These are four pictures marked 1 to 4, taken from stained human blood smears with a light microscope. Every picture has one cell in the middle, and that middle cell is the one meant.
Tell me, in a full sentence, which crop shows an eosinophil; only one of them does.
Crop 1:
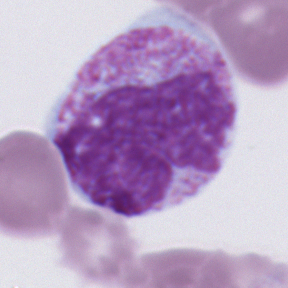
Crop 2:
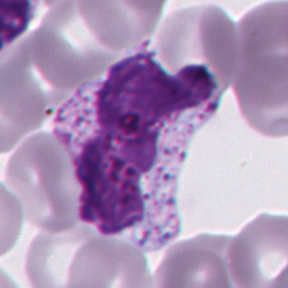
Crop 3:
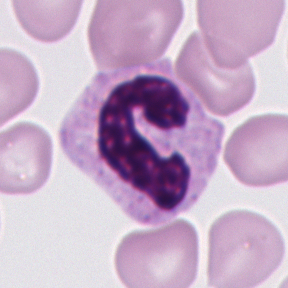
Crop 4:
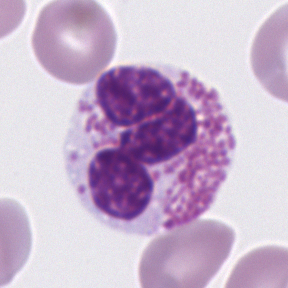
The crop marked 4 is the one that shows an eosinophil.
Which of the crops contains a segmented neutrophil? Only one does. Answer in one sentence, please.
The cell identified as a segmented neutrophil is the one in crop 3.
